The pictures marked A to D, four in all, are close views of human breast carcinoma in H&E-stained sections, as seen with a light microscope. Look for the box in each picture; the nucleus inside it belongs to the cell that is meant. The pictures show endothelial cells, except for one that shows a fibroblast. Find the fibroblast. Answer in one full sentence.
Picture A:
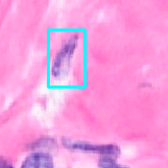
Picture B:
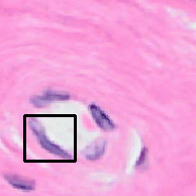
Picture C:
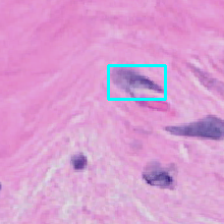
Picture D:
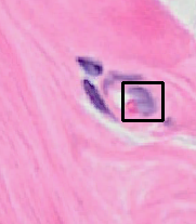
It is picture A that shows the fibroblast.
